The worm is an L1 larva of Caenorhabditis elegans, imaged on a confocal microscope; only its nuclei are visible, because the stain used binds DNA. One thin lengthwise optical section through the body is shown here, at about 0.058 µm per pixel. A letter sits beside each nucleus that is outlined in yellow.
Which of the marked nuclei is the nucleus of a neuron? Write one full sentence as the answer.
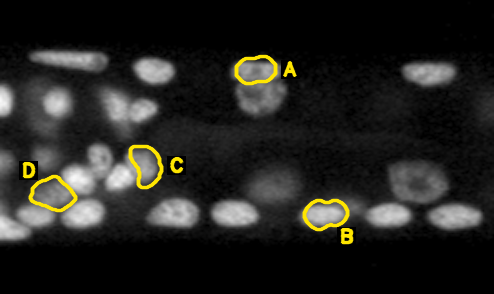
It is B that belongs to a neuron.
